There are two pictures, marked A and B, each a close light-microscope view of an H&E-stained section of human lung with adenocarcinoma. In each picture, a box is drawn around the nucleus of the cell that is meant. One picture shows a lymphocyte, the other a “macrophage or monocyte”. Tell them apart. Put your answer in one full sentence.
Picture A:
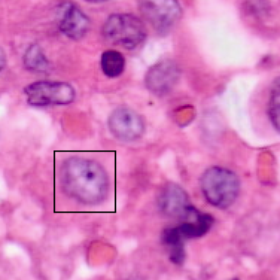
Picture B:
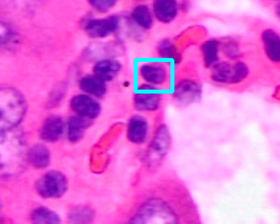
Picture A is of a “macrophage or monocyte”, and picture B is of a lymphocyte.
